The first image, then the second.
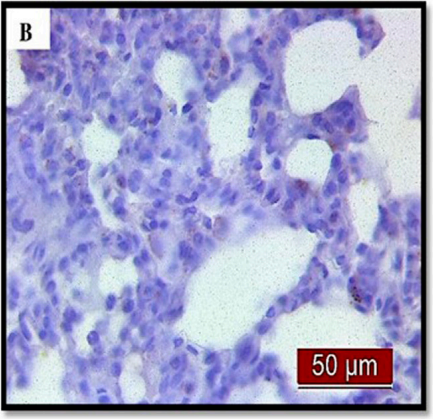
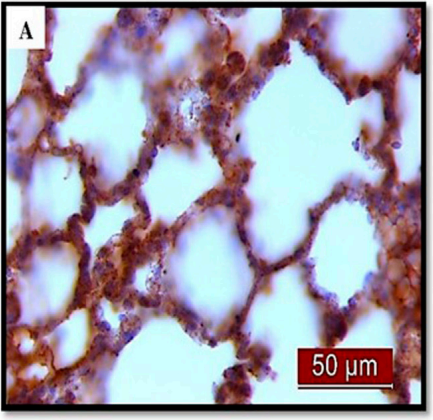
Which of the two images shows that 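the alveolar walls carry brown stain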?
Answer: The second image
